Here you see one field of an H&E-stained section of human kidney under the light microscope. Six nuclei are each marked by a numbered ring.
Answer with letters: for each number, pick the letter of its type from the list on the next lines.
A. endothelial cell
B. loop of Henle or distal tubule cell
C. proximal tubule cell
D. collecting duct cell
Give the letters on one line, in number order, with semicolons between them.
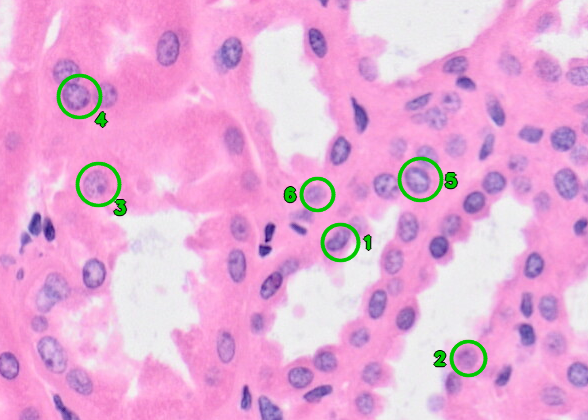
B; B; C; C; B; B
